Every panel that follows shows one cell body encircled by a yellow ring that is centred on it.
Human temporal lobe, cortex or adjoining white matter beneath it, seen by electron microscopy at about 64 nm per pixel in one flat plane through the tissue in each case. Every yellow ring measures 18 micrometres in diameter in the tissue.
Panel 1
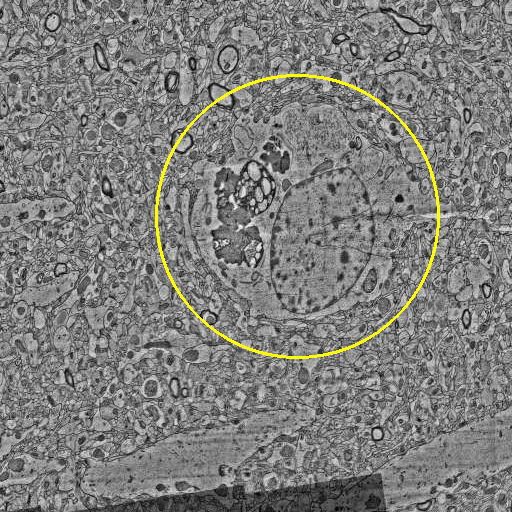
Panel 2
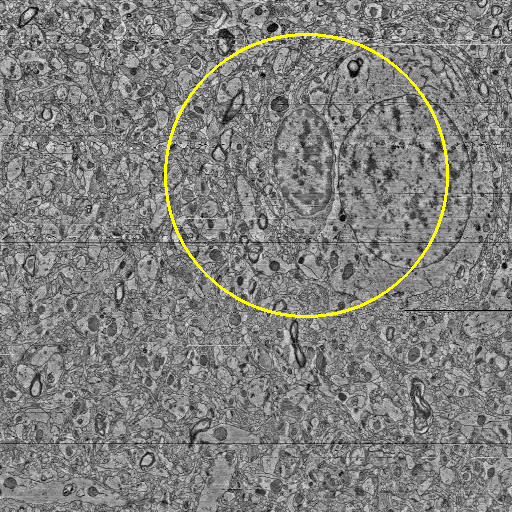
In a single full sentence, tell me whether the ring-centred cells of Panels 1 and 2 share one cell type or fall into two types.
In Panel 1 and Panel 2, the cells at the ring centres fall into two types.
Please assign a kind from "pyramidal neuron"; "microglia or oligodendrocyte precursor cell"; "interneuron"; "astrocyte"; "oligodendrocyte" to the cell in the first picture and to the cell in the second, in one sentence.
In the first picture we have an astrocyte, and in the second, an oligodendrocyte.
